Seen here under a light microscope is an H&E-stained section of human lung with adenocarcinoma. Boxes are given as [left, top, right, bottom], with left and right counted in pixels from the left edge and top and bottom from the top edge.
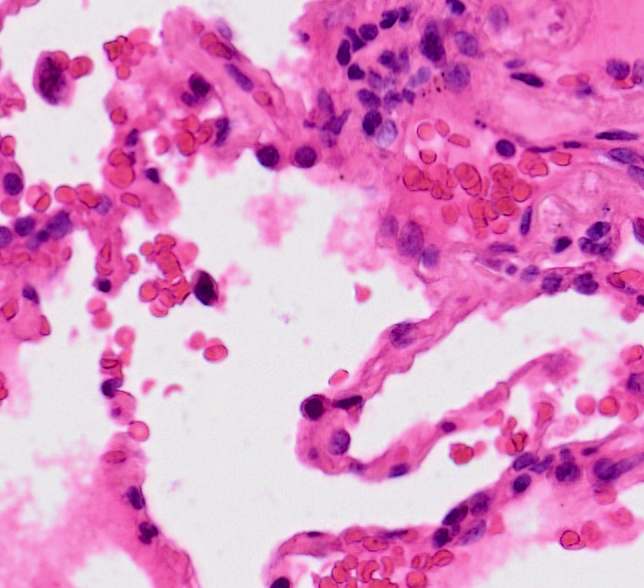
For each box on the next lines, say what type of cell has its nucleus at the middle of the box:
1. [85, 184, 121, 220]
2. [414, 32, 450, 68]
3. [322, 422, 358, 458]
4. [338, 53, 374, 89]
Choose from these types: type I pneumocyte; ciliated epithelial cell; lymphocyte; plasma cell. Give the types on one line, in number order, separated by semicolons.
type I pneumocyte; plasma cell; type I pneumocyte; lymphocyte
